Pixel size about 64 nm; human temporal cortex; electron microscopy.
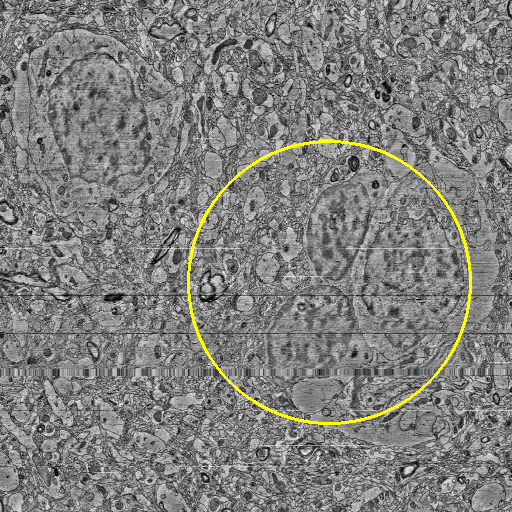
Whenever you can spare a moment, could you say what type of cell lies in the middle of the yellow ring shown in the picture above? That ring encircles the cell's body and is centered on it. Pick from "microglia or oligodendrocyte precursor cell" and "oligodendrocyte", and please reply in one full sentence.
The cell whose body sits at the middle of the yellow ring is an oligodendrocyte.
